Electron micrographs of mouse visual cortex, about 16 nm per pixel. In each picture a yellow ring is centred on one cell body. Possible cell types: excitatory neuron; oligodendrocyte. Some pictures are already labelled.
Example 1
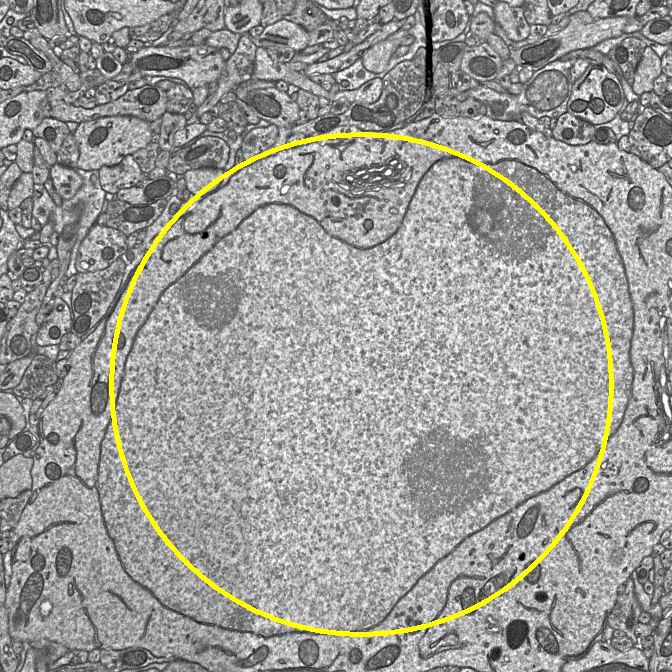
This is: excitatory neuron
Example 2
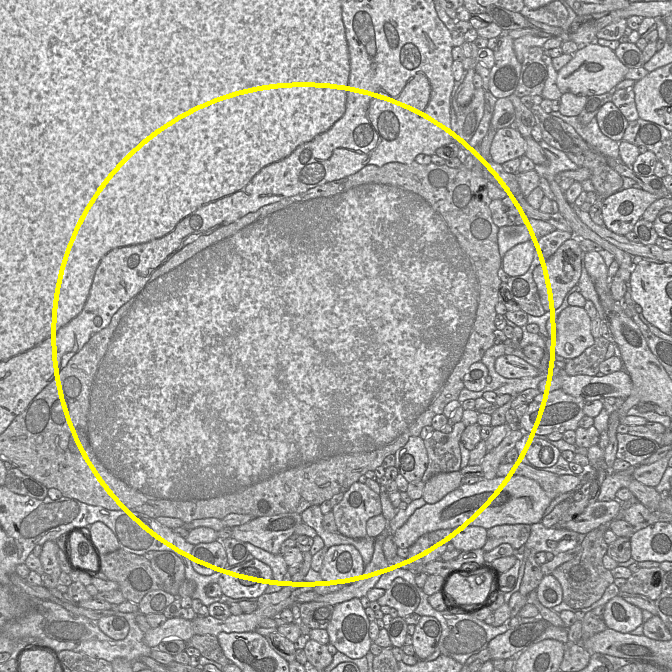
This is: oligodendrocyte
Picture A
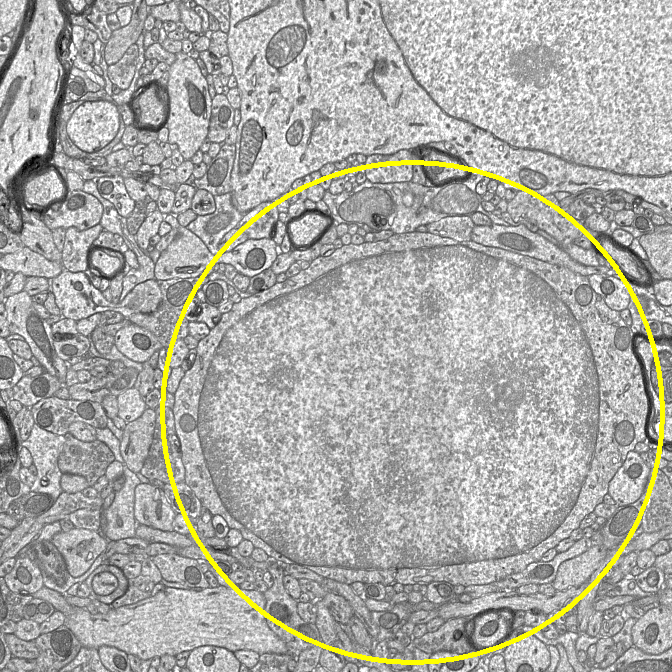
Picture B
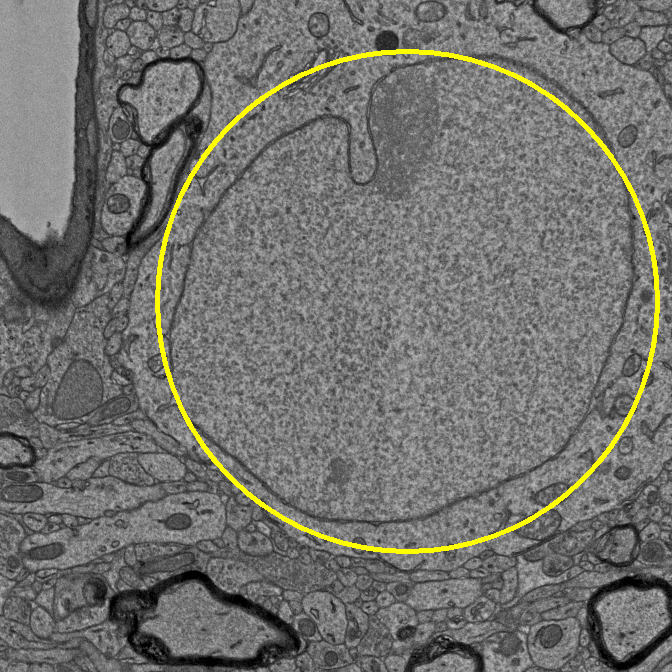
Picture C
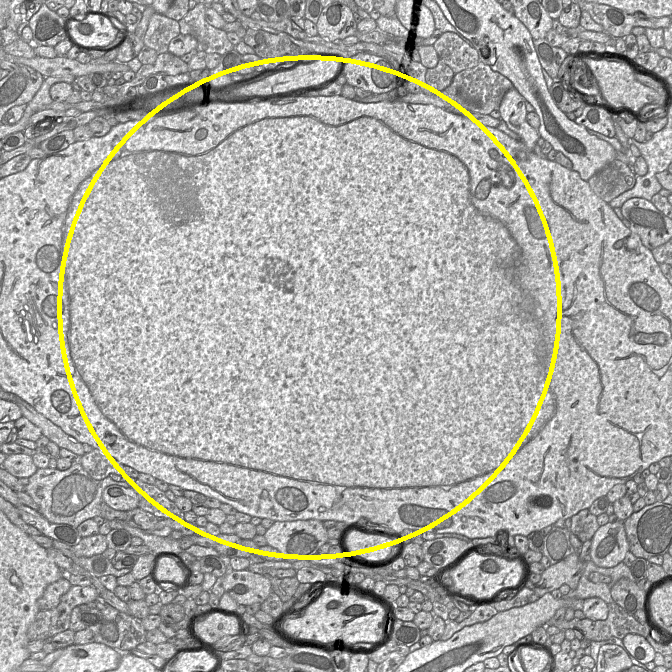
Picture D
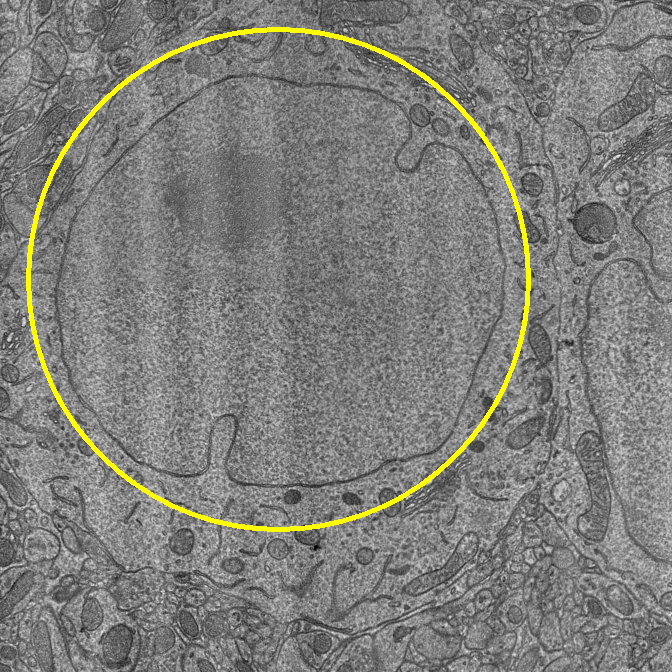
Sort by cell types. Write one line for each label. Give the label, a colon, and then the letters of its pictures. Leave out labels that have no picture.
excitatory neuron: B, C, D
oligodendrocyte: A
